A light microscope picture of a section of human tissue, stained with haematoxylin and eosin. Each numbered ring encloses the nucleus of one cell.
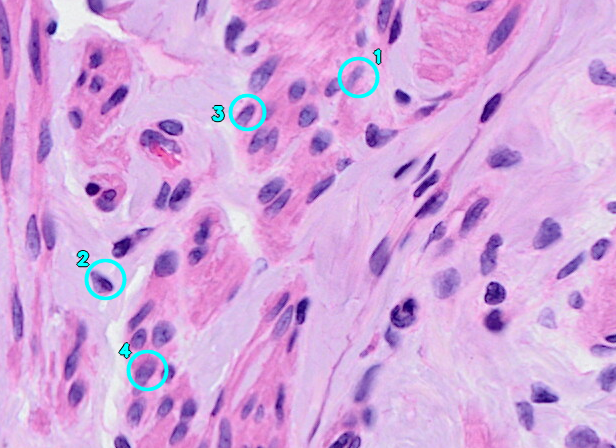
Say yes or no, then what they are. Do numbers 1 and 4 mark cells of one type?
Yes, briefly put, cells 1 and 4 are both smooth muscle cells.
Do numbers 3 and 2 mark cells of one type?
No, cell 3 is interpreted as a smooth muscle cell, and cell 2 is interpreted as a fibroblast.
